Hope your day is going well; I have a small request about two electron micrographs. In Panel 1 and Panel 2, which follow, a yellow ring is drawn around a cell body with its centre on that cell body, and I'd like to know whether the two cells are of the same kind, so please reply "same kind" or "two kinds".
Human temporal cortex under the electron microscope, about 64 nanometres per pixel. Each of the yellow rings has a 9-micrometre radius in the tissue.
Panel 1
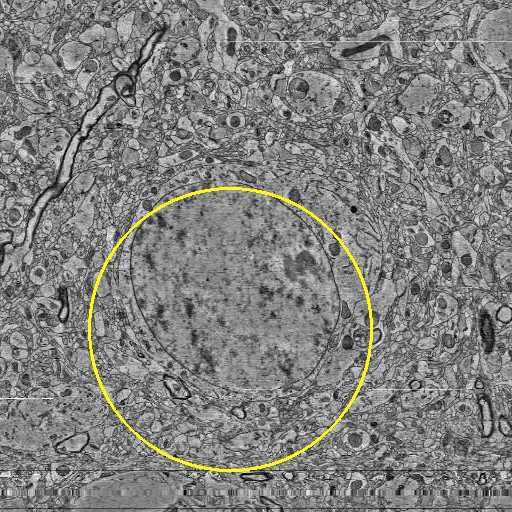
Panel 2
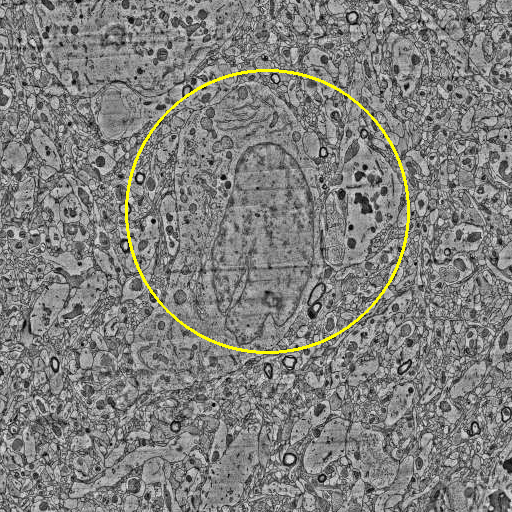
two kinds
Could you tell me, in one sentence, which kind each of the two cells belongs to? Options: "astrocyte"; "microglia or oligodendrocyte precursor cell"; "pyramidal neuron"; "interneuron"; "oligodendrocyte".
At the centre of the first ring sits a pyramidal neuron, and at the centre of the second sits an interneuron.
